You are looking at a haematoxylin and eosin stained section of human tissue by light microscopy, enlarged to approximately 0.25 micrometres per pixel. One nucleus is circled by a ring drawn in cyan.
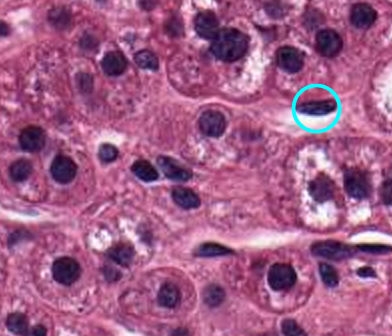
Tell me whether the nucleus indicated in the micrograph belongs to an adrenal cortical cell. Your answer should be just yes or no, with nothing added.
no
